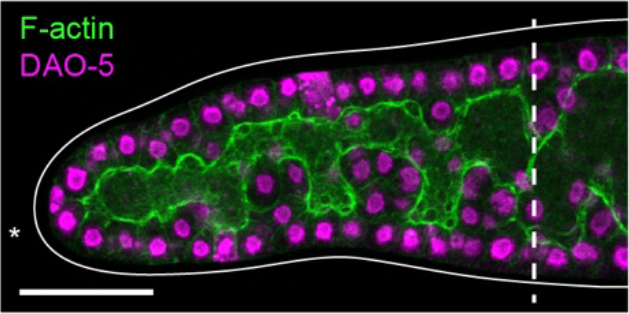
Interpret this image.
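This is the distal end of a gonad tube, with a single layer of round germ cell nuclei in magenta lining its wall and curving around the rounded tip. The core is irregular, bulging into lobes and pockets that reach between the peripheral nuclei. Some nuclei lie inside the tube away from the wall, next to the folds of the core.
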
